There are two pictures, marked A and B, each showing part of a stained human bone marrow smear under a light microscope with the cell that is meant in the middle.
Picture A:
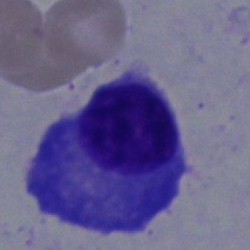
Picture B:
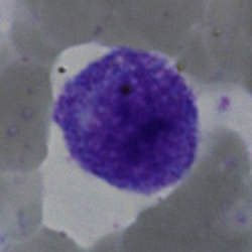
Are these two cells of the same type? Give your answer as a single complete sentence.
No; the cell in picture A is a plasma cell, while the one in picture B is a promyelocyte.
